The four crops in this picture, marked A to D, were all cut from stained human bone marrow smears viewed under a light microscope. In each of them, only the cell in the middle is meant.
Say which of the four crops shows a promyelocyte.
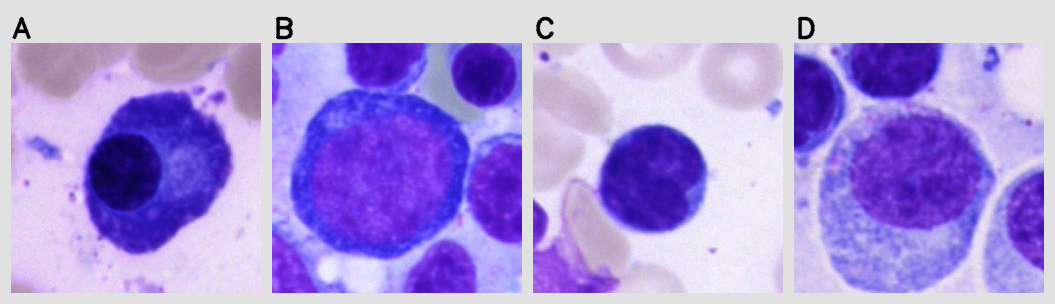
D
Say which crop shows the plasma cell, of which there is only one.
A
